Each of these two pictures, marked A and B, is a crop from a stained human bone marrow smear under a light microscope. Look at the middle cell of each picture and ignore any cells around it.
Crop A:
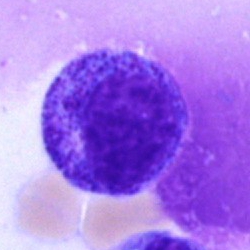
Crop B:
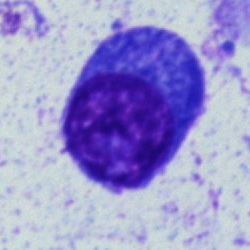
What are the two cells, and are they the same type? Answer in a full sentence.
No, crop A has a promyelocyte at its center, and crop B has a plasma cell.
